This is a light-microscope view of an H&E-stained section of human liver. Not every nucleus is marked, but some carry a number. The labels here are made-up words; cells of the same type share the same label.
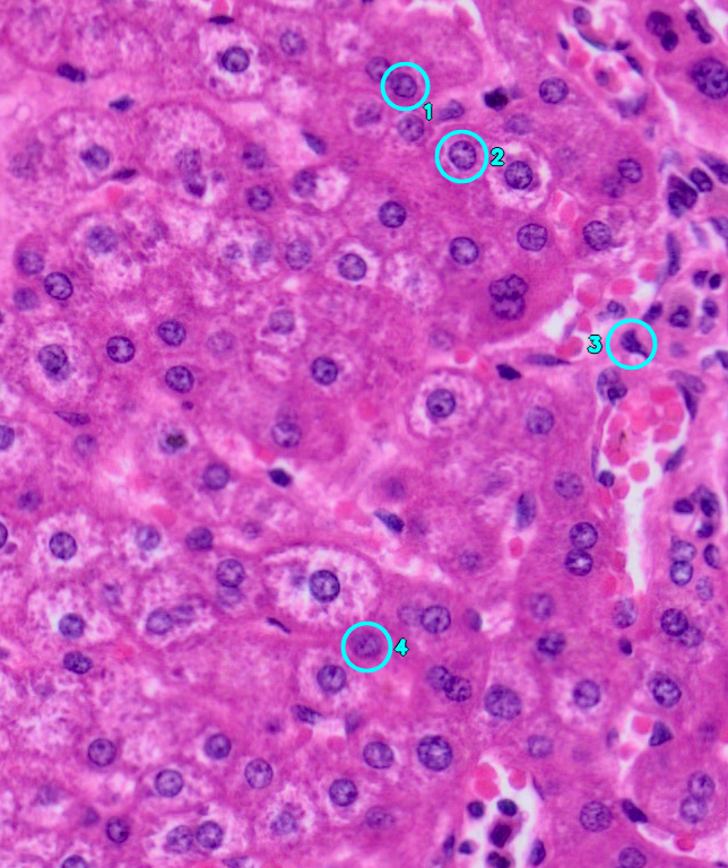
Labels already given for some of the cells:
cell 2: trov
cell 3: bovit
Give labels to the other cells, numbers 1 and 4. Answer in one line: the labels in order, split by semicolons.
trov; trov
